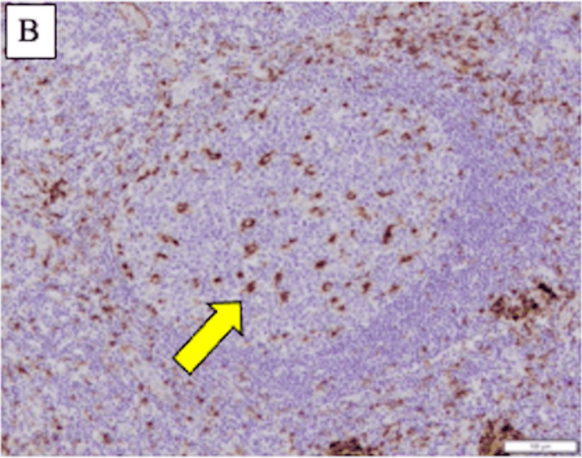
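The lymphocytes are small, round and densely packed, and a rounded, somewhat paler follicle can be made out in the middle of the field. The brown cells are larger and irregular in outline, lying singly and spread both within the follicle and in the surrounding tissue. Toward the edges, particularly at the upper right and lower right, the brown cells become more numerous and form darker clusters.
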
